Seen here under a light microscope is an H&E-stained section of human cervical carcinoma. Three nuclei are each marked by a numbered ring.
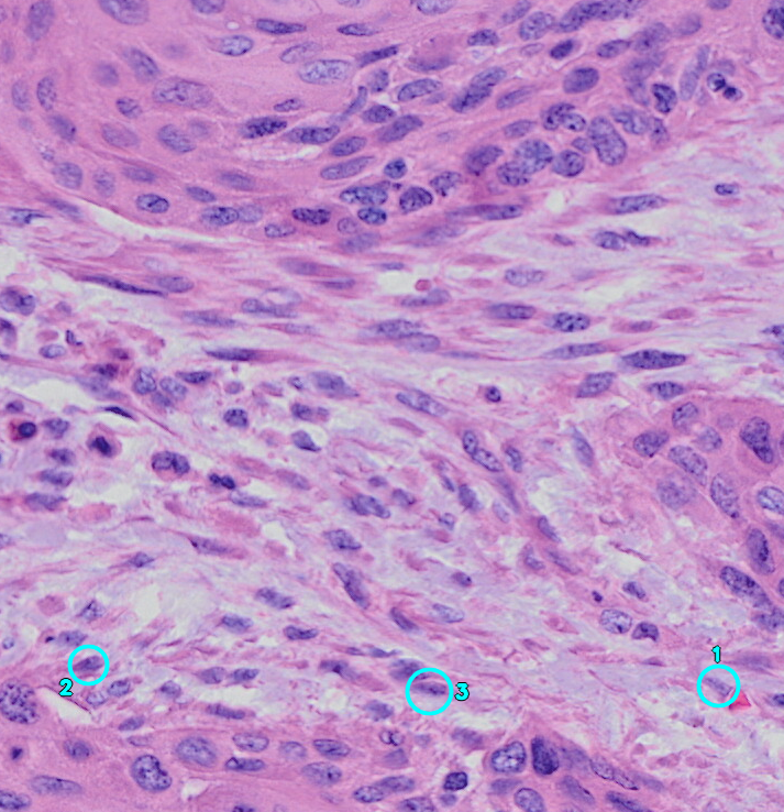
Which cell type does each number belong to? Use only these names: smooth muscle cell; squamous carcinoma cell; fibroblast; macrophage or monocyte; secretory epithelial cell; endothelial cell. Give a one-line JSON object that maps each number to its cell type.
{"1": "endothelial cell", "2": "fibroblast", "3": "fibroblast"}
